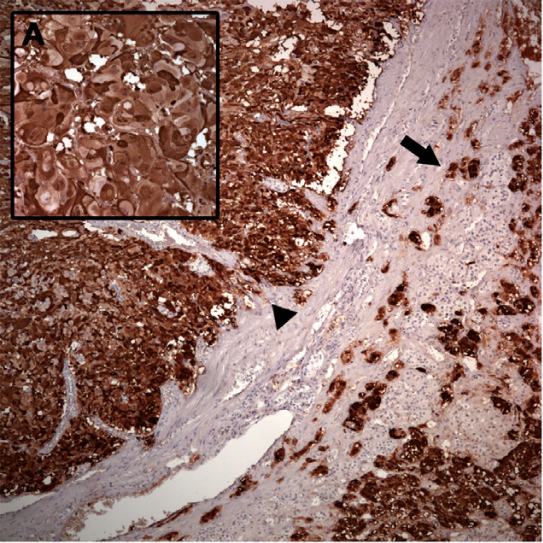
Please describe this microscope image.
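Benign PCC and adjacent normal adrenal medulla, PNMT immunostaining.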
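Tumour tissue at left forms large solid nests stained deep brown, separated by thin fibrovascular septa. A band of pale fibrous tissue with small blue nuclei runs diagonally across the field. Beyond the band, smaller brown-stained clusters and islands of cells lie scattered in paler tissue. In the inset, the tumour cells are large and polygonal, with abundant cytoplasm stained strongly brown and small clear spaces between them. Thin-walled vessels cross the field.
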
